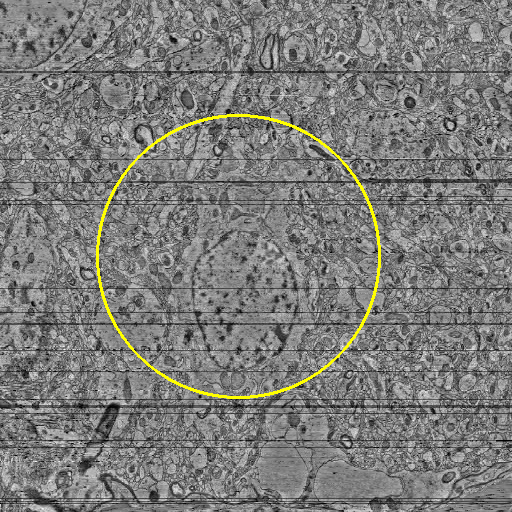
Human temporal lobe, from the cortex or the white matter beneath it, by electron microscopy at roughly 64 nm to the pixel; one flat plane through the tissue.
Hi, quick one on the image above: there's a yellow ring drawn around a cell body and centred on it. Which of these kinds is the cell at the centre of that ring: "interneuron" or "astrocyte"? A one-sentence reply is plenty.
The cell at the centre of the ring is an astrocyte.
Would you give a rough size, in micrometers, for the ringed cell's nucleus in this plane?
Approximately 9 micrometres long and 7 micrometres wide, in this plane.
